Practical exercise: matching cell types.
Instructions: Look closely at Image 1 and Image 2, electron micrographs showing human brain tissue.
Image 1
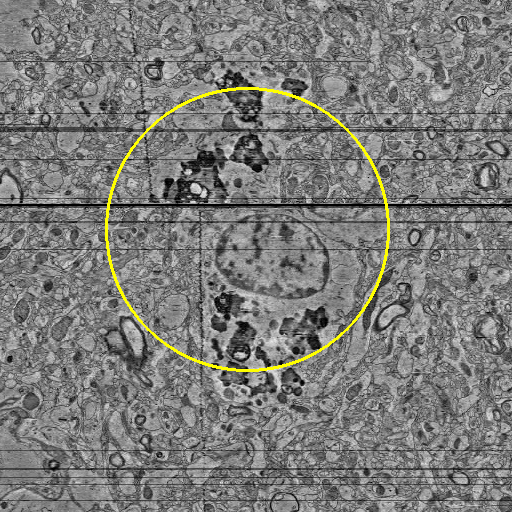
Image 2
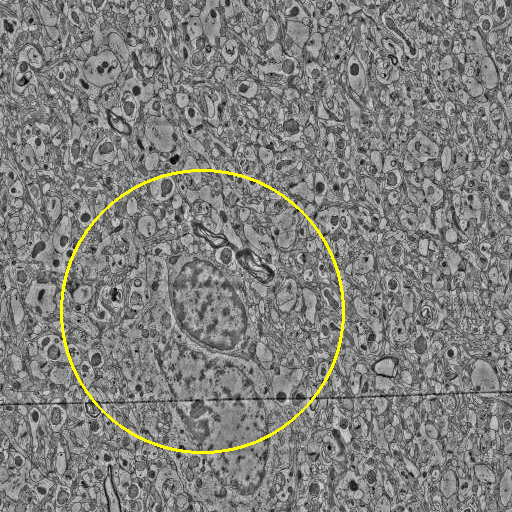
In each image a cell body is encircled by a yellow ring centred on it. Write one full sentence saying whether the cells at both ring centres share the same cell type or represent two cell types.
Across Image 1 and Image 2, the cells at the ring centres represent two cell types.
